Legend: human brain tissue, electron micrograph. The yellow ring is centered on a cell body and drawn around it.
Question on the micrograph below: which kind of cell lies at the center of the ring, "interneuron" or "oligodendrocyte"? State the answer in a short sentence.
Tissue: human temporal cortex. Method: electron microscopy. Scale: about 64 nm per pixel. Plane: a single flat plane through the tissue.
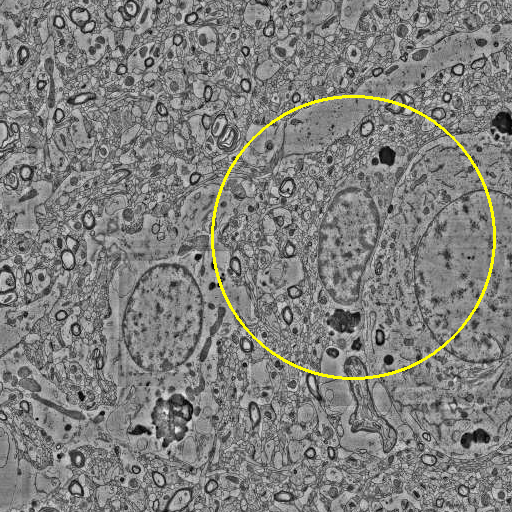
At the center of the ring lies an oligodendrocyte.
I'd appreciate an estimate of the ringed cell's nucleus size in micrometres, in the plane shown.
In this plane, approximately 7 by 4 micrometers, and clearly longer than it is wide.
